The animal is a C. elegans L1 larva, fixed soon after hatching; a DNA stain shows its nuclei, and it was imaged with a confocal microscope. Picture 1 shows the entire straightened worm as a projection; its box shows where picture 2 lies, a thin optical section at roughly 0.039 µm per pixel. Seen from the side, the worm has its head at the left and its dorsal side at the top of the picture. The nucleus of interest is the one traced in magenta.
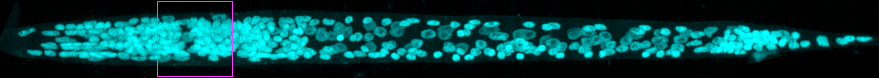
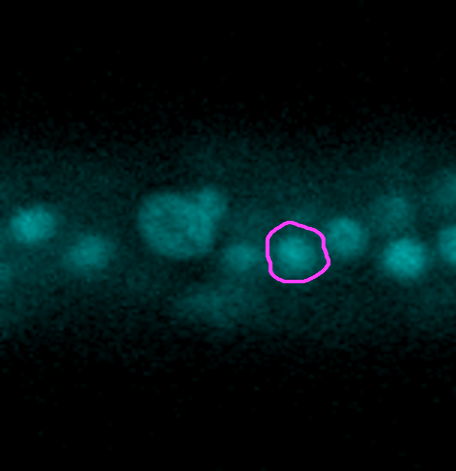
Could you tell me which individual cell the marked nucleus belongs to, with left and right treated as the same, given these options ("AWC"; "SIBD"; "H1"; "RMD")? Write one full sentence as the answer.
The cell whose nucleus is marked is SIBD, a neuron.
